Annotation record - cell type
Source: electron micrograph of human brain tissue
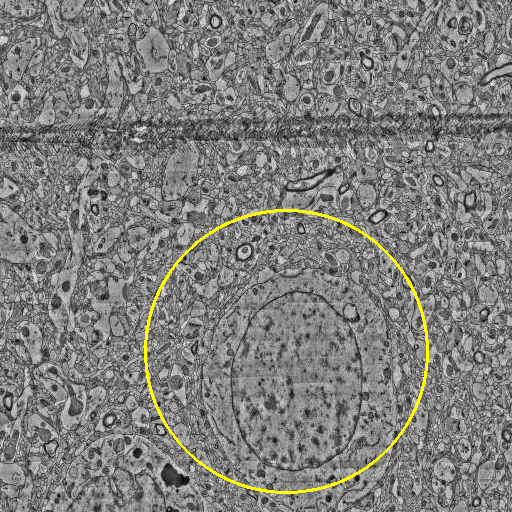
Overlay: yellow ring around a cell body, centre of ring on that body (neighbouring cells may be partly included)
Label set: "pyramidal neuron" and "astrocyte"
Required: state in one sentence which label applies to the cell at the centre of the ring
This cell should be labelled as a pyramidal neuron.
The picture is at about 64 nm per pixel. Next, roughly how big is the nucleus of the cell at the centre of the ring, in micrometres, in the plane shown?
Approximately 12 by 8 micrometers in this plane.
